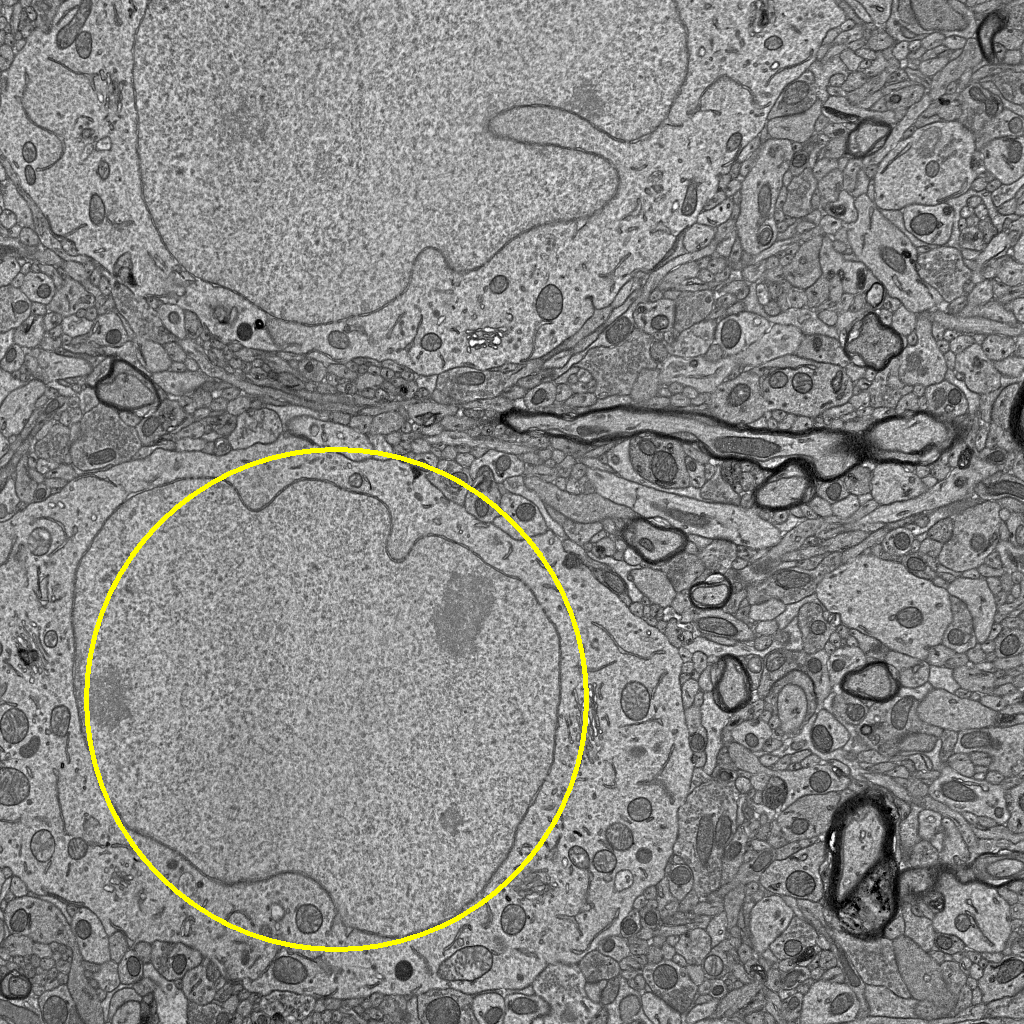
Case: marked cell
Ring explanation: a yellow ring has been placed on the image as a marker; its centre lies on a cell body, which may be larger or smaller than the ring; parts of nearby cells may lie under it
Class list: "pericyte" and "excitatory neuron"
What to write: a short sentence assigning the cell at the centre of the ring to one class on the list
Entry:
The cell at the ring's centre is an excitatory neuron.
